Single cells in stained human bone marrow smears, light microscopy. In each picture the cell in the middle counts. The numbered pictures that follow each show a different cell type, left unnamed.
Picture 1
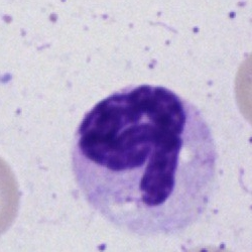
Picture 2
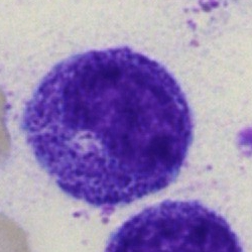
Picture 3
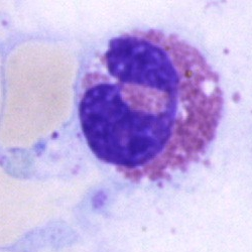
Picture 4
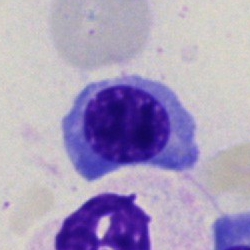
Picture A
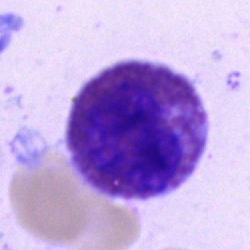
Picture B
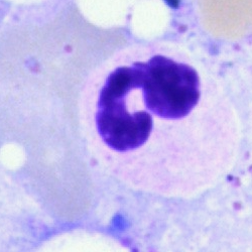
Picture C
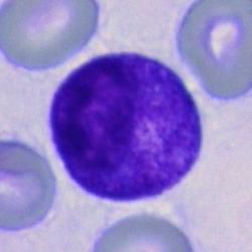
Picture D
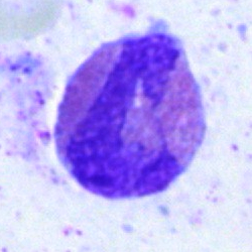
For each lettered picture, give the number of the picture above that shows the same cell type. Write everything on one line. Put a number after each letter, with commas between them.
A 3, B 1, C 2, D 3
